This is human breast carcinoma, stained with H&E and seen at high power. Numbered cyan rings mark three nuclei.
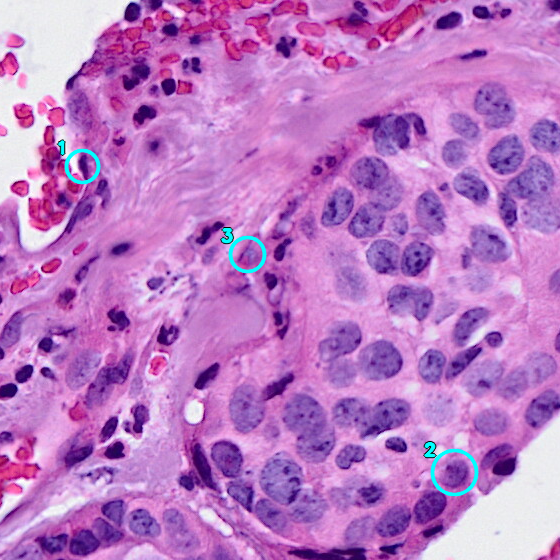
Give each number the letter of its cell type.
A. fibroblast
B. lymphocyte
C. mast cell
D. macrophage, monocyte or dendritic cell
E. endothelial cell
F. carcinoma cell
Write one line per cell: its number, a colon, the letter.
1: E
2: F
3: E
